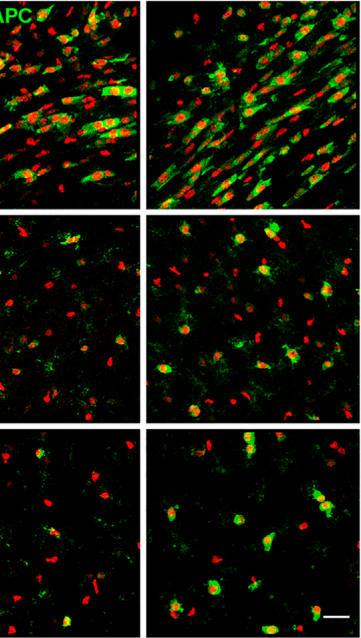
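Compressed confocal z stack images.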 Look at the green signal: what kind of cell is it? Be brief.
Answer: Mature oligodendrocytes.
